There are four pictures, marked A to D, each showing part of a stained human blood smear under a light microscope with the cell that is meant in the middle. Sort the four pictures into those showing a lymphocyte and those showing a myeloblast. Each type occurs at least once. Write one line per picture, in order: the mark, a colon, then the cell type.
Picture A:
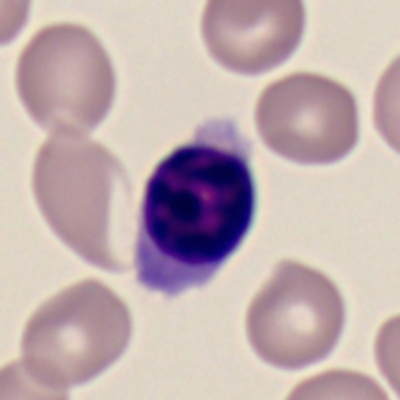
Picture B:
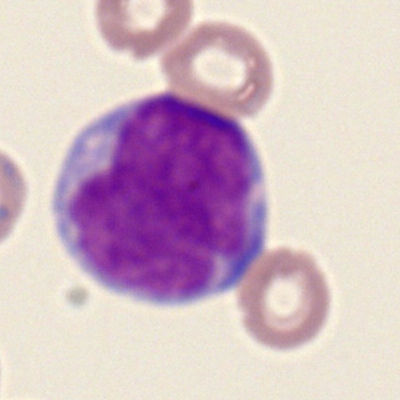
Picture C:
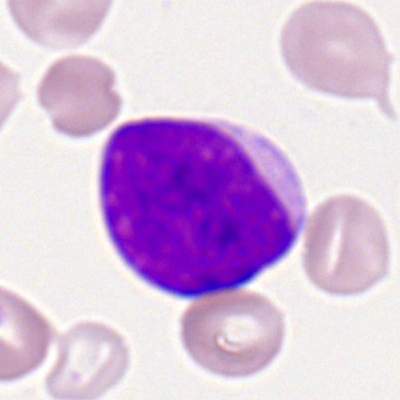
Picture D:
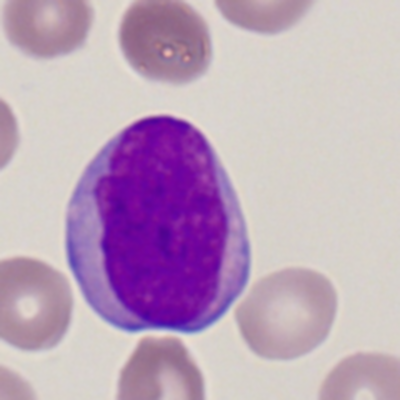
A: lymphocyte
B: myeloblast
C: myeloblast
D: myeloblast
